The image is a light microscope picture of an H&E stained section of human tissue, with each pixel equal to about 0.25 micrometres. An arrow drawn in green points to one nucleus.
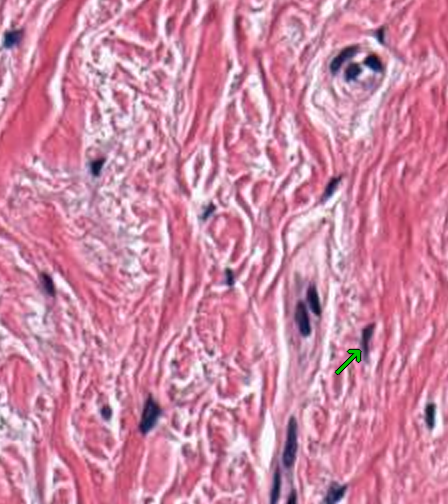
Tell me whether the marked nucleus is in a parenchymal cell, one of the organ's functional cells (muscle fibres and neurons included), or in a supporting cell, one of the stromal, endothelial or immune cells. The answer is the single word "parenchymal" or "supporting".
supporting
